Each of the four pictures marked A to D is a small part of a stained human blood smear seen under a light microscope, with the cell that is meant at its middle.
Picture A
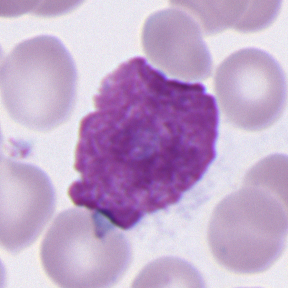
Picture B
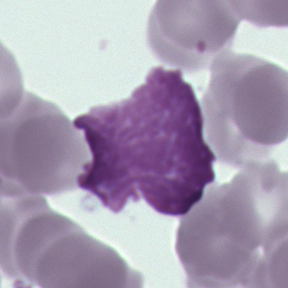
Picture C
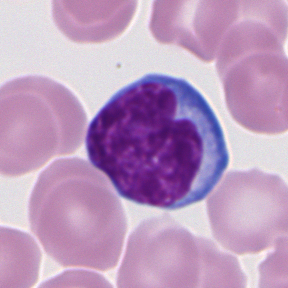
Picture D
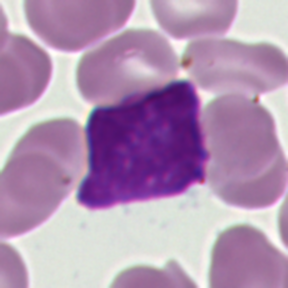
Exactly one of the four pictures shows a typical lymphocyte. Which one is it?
C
